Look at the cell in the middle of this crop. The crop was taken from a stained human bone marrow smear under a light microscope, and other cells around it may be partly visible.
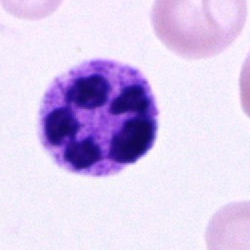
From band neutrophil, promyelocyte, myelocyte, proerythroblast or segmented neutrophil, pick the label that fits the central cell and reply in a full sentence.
The cell marked by its central position in the crop is a segmented neutrophil.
